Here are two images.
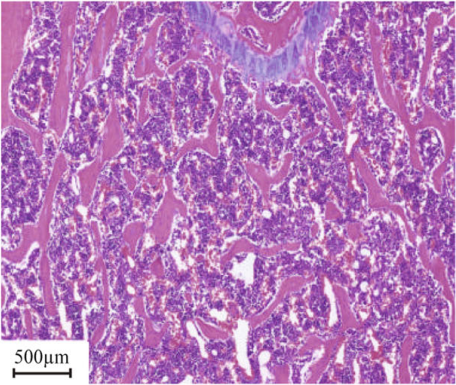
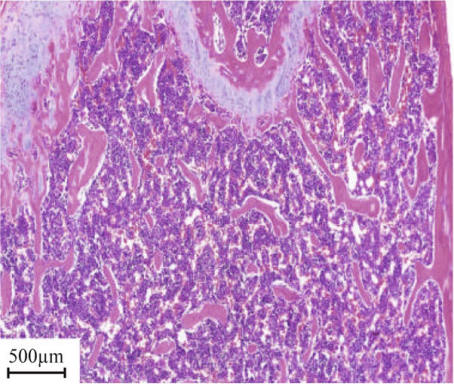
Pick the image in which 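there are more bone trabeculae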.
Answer: the first image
